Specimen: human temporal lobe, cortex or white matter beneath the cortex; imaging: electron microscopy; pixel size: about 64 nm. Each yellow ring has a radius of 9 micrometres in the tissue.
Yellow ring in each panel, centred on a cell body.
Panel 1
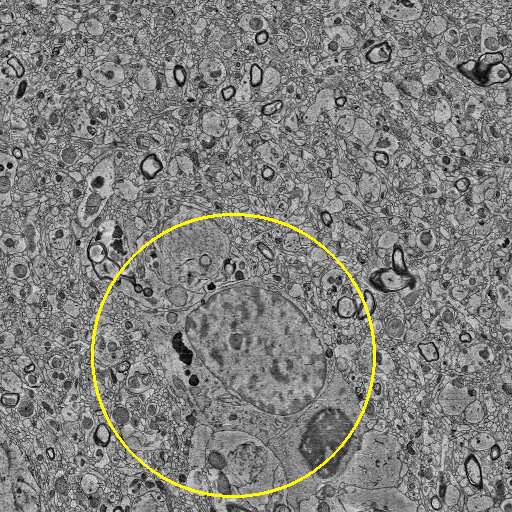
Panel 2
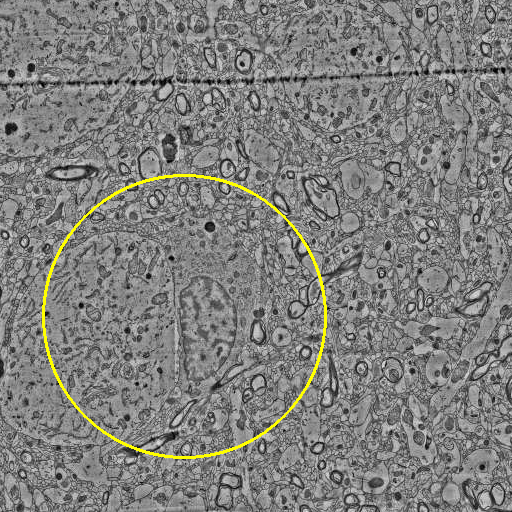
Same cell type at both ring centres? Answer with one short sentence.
Yes, both cells are of the same type.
